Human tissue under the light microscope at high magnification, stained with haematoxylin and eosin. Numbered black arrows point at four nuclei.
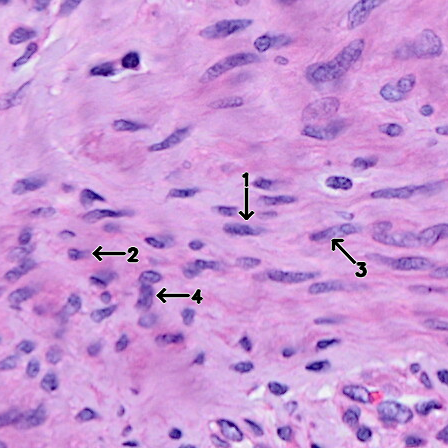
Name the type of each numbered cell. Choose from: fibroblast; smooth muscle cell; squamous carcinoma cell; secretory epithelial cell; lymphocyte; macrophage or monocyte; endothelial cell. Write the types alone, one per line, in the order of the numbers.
fibroblast
smooth muscle cell
smooth muscle cell
smooth muscle cell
